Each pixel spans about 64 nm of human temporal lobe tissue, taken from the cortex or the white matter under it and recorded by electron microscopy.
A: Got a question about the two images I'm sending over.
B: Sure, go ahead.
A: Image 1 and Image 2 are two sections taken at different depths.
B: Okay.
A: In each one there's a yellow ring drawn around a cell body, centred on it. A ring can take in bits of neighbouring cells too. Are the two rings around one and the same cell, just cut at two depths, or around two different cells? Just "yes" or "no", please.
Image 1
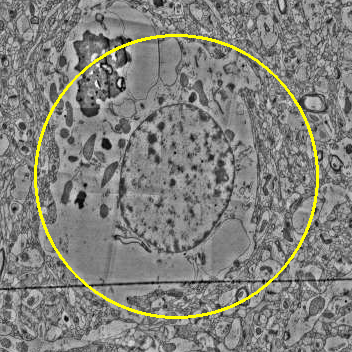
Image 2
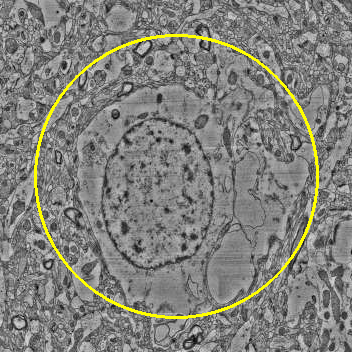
no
